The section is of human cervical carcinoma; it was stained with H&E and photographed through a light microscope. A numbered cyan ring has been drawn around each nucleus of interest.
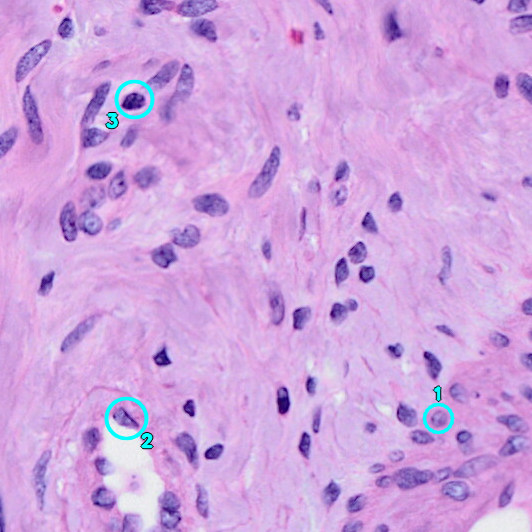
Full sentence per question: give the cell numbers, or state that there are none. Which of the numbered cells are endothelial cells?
Of the numbered nuclei, only the one labelled 2 belongs to an endothelial cell.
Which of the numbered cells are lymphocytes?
Across all the numbered cells, only number 3 is a lymphocyte.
